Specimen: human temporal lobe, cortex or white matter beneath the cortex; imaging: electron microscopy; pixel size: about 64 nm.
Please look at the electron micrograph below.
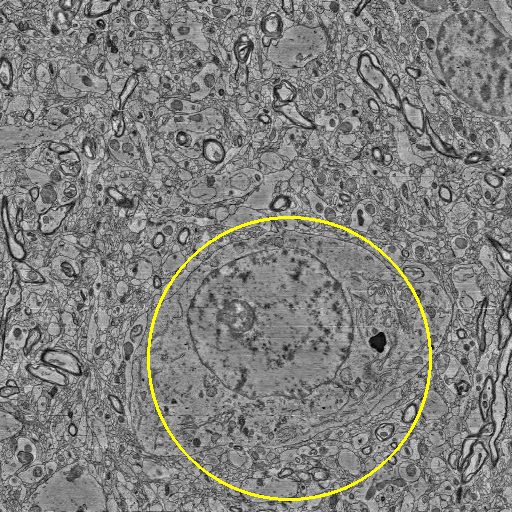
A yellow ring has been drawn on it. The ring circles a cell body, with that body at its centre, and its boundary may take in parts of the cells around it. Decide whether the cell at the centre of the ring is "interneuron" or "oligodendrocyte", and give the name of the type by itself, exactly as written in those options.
interneuron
